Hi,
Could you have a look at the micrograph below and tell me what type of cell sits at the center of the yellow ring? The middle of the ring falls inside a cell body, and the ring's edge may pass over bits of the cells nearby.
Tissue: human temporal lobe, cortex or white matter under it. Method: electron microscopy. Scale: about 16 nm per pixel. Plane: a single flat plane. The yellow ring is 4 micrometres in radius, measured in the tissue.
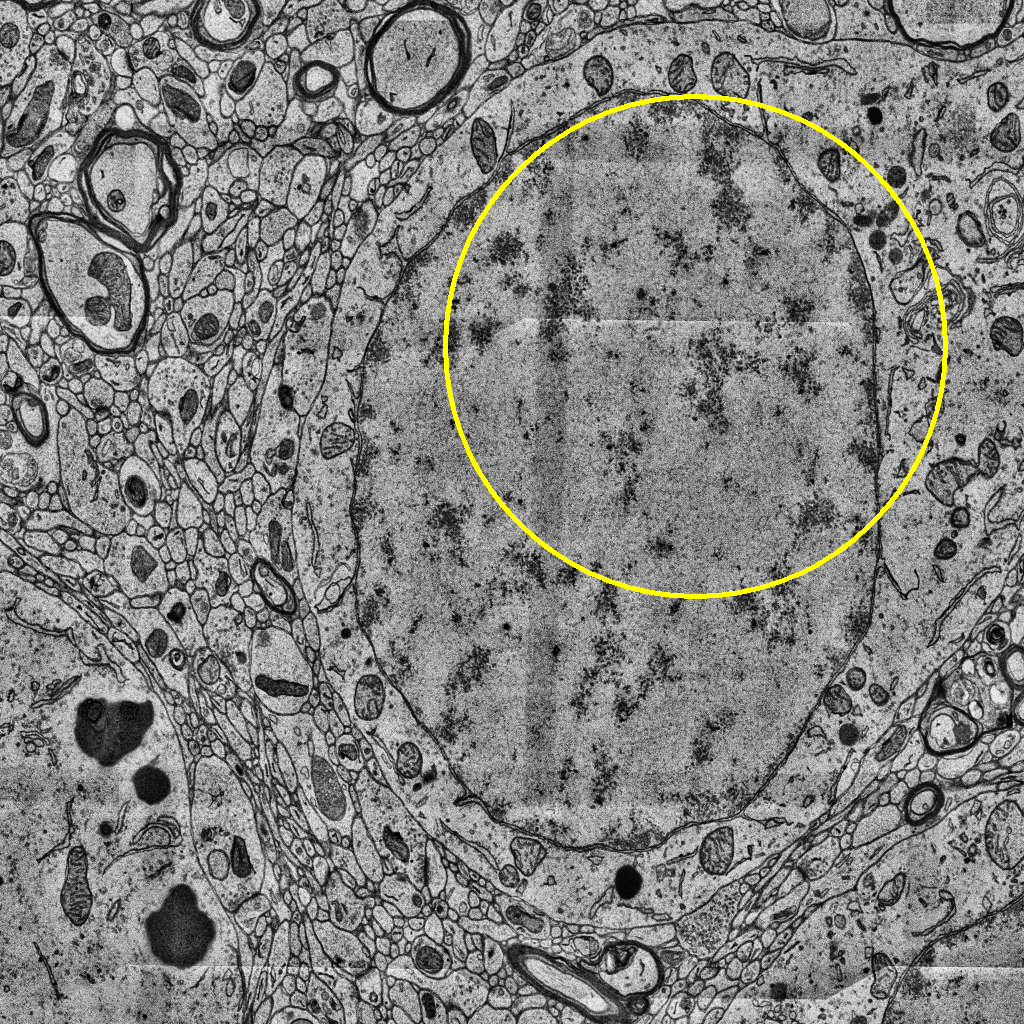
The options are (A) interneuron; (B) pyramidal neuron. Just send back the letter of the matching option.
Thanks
B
